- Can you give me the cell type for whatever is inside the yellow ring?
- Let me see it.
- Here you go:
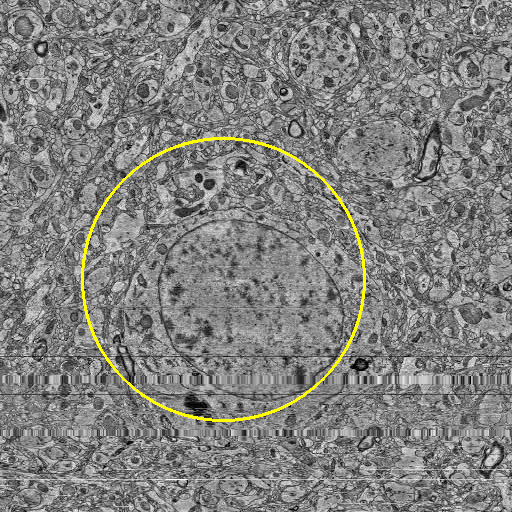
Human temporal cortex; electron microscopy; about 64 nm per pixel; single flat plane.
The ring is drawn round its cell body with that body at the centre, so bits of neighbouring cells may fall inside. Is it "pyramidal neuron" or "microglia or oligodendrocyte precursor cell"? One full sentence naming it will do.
The cell body in the middle of the ring in this picture belongs to a pyramidal neuron.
